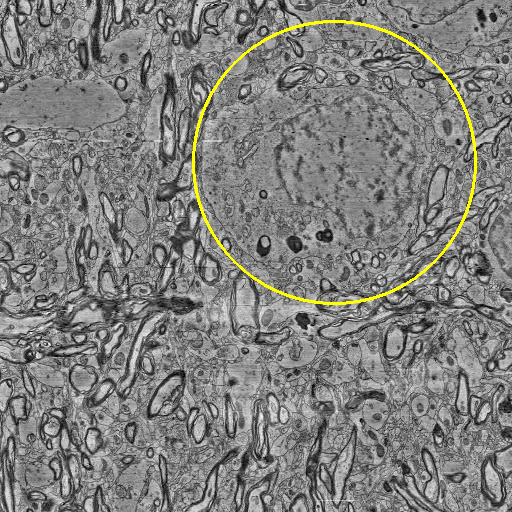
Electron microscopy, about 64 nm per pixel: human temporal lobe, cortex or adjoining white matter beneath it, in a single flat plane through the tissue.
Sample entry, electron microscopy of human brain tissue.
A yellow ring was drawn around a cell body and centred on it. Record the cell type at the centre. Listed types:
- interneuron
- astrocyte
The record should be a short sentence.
The cell at the ring's centre is an interneuron.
